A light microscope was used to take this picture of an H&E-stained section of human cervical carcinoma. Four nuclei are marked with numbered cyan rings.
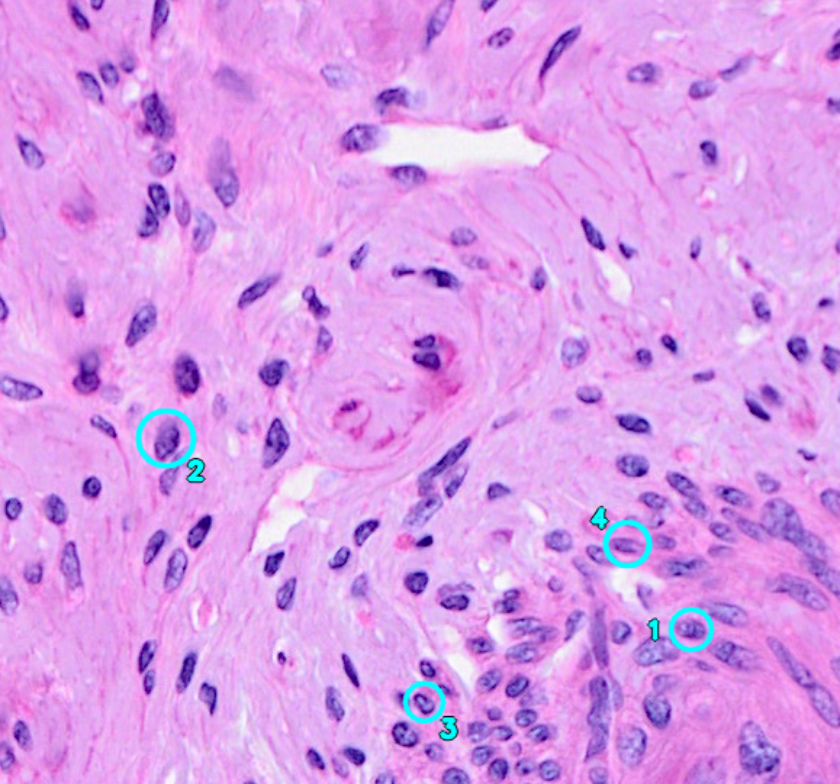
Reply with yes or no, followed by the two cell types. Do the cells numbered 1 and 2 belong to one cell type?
No, as to type, cell 1 is a smooth muscle cell, and cell 2 is a fibroblast.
